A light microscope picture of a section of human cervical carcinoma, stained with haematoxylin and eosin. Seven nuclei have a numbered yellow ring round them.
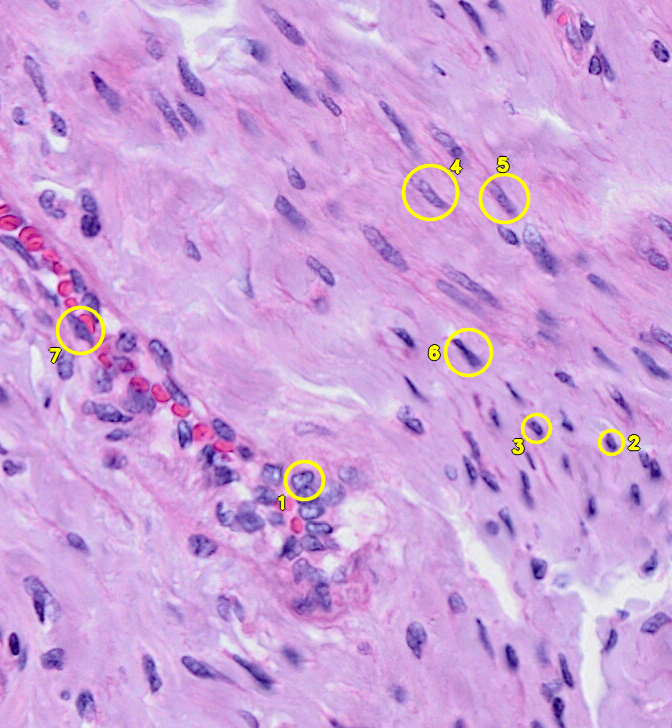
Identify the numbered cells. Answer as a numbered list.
1. endothelial cell
2. fibroblast
3. fibroblast
4. smooth muscle cell
5. smooth muscle cell
6. fibroblast
7. endothelial cell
